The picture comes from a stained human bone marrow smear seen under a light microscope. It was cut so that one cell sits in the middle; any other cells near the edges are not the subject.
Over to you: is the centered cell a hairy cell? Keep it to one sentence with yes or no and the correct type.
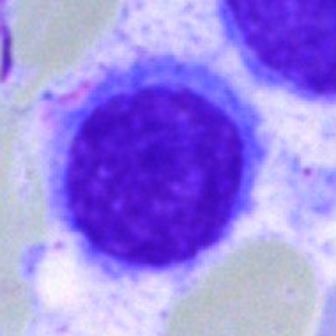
Yes, the cell shown centrally is a hairy cell.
